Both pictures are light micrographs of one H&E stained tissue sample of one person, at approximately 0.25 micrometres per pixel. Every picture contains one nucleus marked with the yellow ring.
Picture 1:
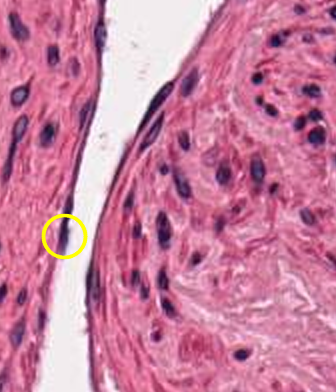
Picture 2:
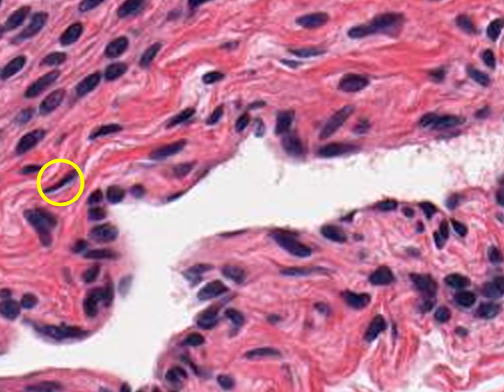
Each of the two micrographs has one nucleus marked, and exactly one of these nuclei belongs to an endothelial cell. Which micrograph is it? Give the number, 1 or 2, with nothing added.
1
